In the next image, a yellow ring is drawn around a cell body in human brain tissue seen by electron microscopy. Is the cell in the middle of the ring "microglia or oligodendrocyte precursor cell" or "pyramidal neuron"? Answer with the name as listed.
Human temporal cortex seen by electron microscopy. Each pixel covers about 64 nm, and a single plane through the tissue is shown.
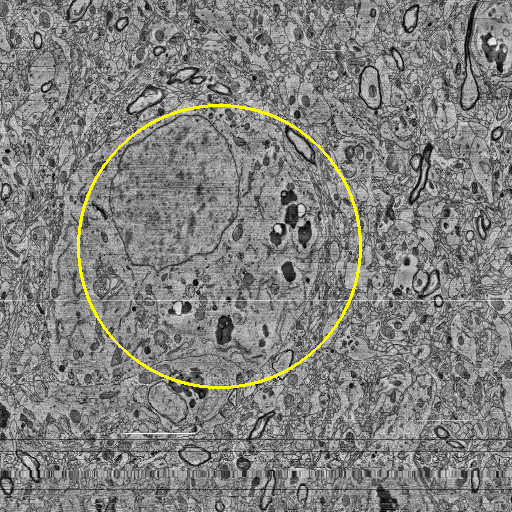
pyramidal neuron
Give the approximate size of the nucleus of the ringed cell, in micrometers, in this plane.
In this plane the nucleus spans approximately 11 by 8 micrometers.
